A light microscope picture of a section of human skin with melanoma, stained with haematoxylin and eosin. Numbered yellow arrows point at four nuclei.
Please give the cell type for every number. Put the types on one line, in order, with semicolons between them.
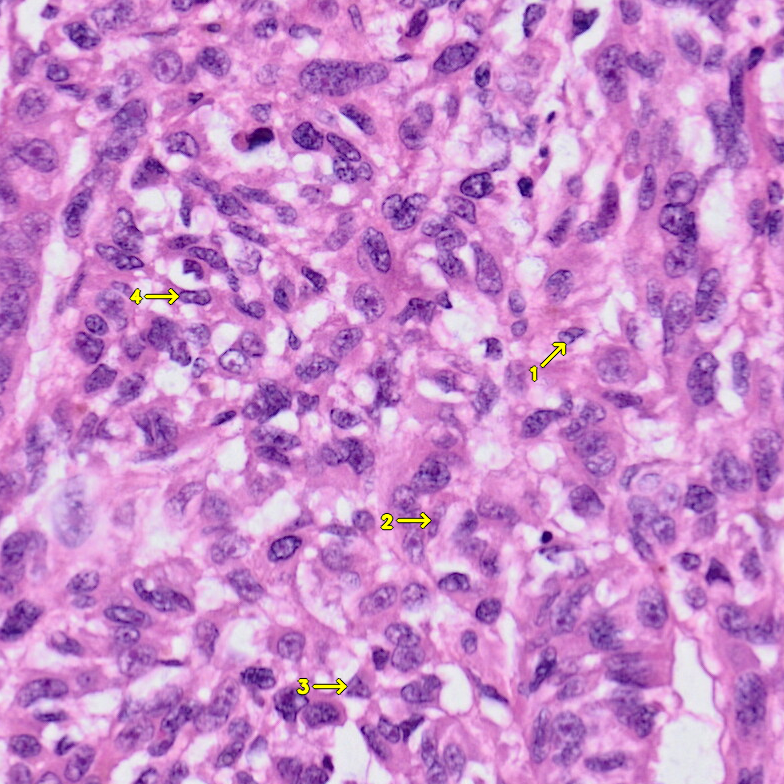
macrophage or monocyte; melanoma cell; melanoma cell; melanoma cell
